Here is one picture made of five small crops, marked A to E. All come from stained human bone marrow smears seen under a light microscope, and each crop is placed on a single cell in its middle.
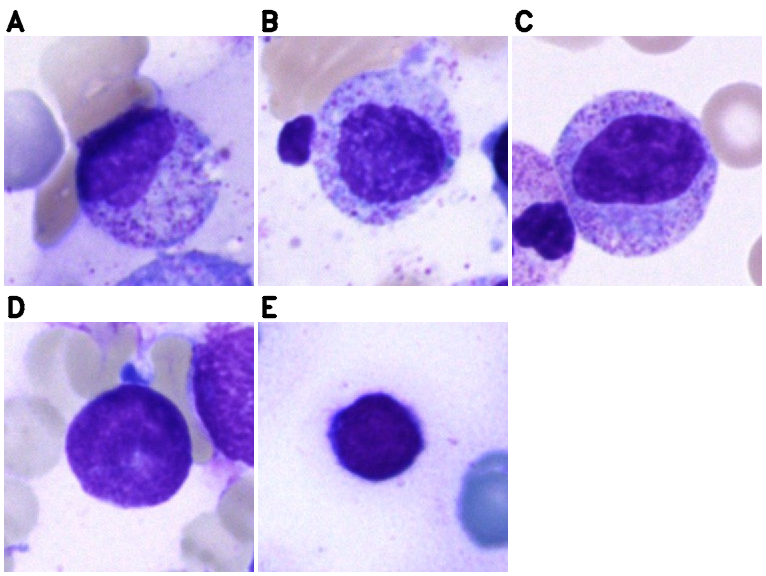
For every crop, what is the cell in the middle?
A: metamyelocyte
B: myelocyte
C: myelocyte
D: blast
E: lymphocyte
